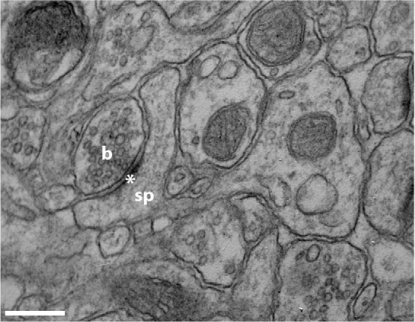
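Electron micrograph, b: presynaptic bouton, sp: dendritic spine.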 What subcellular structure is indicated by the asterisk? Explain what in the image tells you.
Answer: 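Postsynaptic density. The asterisk sits at a dark, thickened stretch of membrane between a vesicle-filled profile and a neighbouring profile.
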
